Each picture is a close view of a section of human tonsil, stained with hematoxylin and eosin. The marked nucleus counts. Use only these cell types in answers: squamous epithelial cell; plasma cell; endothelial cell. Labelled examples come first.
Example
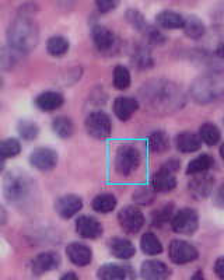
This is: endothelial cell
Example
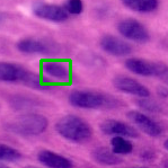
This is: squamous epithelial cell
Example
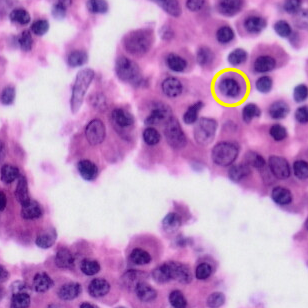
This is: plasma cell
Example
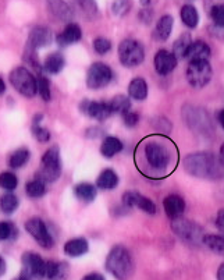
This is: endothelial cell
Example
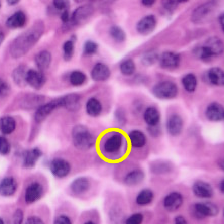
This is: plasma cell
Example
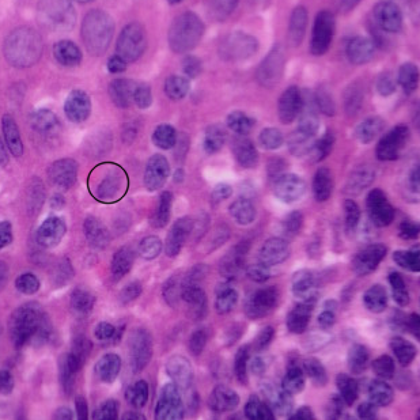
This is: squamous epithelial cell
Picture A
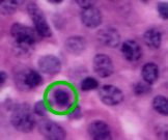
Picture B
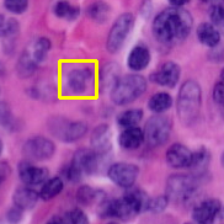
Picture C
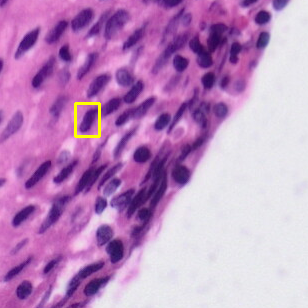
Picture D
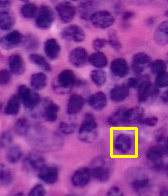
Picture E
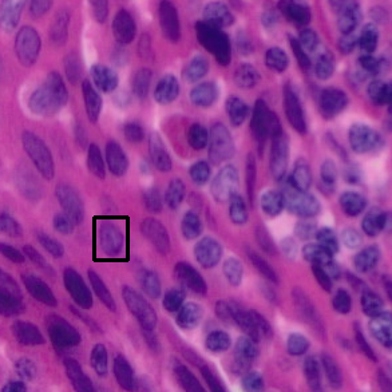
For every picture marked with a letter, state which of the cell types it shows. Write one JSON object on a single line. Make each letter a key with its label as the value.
{"A": "plasma cell", "B": "endothelial cell", "C": "squamous epithelial cell", "D": "plasma cell", "E": "squamous epithelial cell"}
